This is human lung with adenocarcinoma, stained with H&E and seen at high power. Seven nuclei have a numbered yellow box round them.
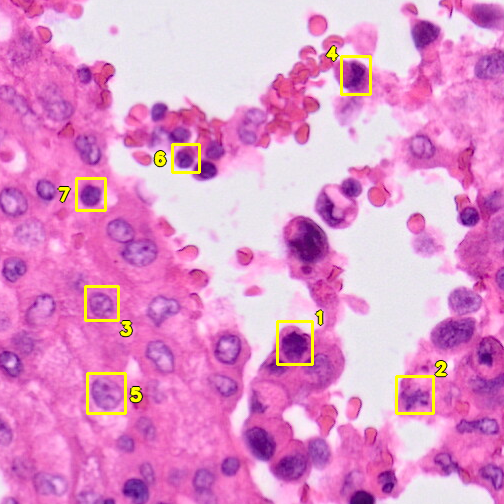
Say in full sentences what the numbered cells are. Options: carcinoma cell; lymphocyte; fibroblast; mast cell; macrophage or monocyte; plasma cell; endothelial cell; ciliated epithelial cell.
Cell 1 is a carcinoma cell. Cells 2, 3, 4 and 5 are macrophages or monocytes. Cells 6 and 7 are lymphocytes.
